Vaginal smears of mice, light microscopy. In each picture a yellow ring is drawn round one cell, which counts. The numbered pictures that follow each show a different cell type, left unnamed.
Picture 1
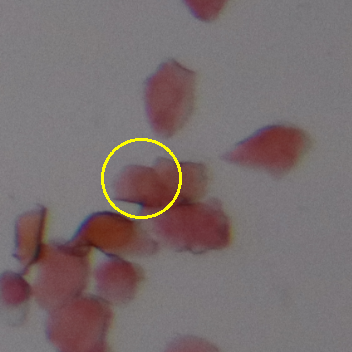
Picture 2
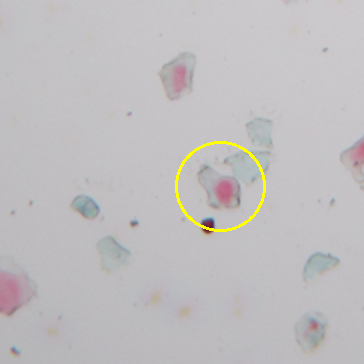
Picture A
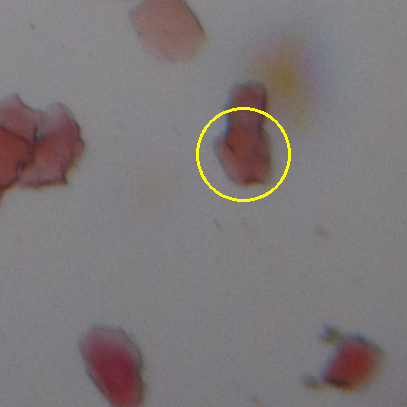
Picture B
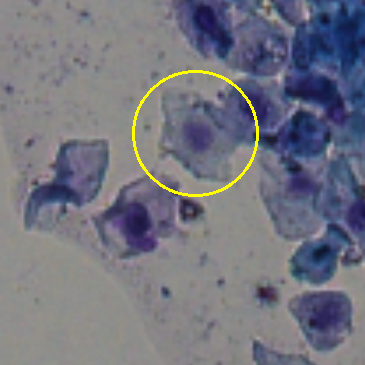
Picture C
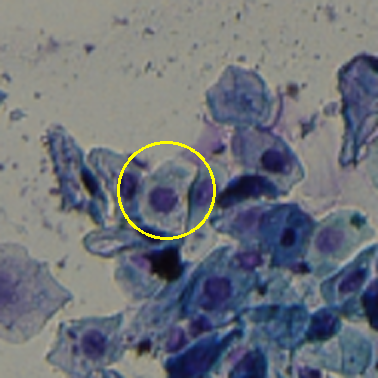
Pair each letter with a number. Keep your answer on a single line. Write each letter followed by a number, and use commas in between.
A 1, B 2, C 2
